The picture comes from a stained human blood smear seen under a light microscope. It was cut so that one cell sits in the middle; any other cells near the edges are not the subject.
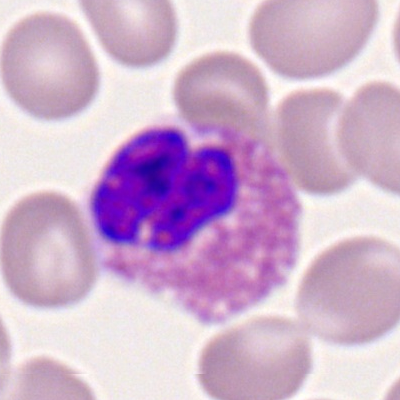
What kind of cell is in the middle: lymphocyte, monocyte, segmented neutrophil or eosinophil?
eosinophil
